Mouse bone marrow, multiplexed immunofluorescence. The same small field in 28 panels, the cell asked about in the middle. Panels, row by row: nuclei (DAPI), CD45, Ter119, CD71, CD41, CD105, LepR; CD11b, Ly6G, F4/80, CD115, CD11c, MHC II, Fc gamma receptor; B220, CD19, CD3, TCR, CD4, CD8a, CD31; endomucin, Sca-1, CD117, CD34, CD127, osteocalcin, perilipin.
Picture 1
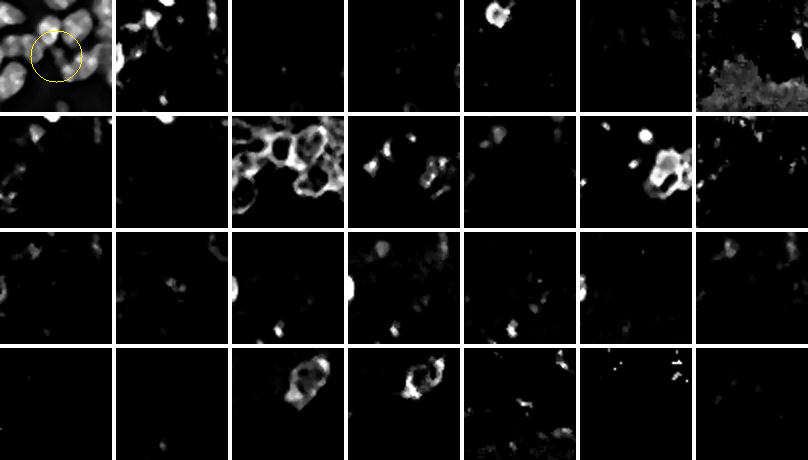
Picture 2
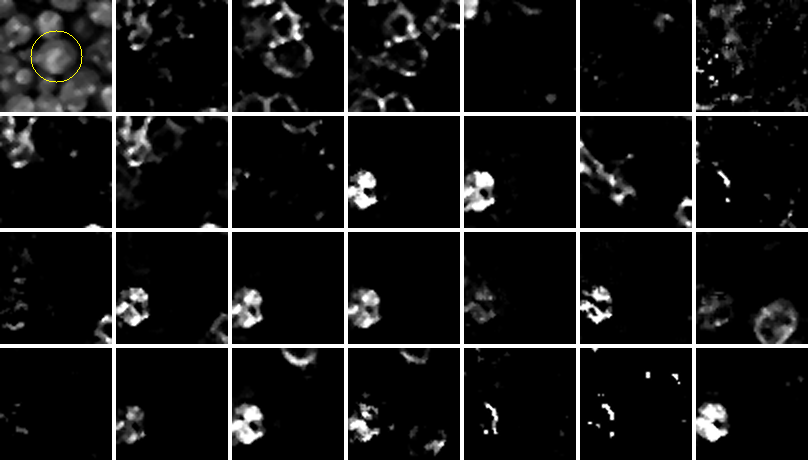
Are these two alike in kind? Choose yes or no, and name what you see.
No. First a megakaryocyte-erythroid progenitor, second an erythroblast.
